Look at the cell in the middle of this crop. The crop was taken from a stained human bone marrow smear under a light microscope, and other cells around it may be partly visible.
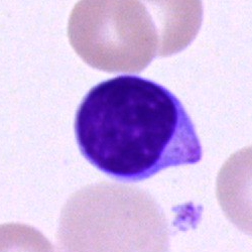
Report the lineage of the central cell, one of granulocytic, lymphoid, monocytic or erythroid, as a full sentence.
The central cell's lineage is lymphoid.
